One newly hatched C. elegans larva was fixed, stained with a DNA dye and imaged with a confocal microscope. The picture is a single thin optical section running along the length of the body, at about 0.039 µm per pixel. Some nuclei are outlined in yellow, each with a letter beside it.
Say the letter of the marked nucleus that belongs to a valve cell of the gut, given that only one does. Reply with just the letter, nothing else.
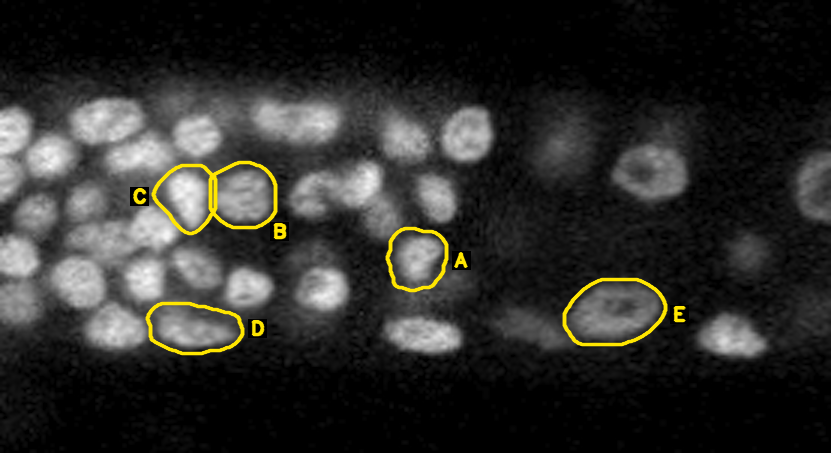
A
